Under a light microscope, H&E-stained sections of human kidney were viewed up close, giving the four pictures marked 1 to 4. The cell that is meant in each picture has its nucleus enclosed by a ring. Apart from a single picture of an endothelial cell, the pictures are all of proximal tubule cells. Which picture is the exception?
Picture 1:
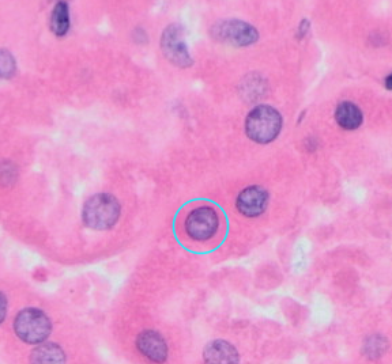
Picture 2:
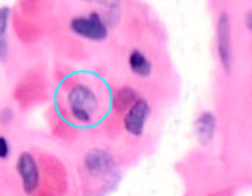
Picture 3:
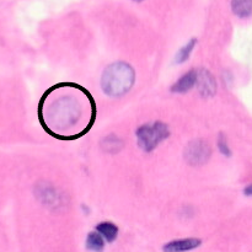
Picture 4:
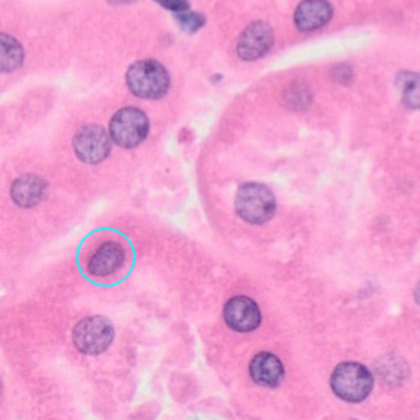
2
